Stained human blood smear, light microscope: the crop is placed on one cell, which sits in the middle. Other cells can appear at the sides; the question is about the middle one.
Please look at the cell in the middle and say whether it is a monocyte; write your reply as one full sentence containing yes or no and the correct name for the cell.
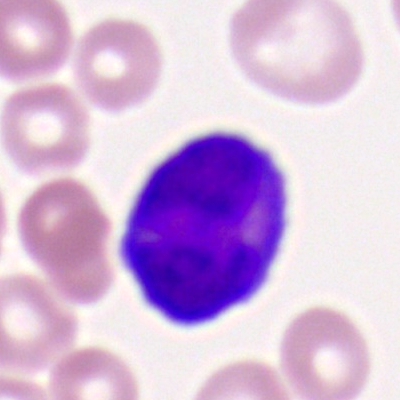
No, what lies at the heart of the crop is a blast, not a monocyte.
